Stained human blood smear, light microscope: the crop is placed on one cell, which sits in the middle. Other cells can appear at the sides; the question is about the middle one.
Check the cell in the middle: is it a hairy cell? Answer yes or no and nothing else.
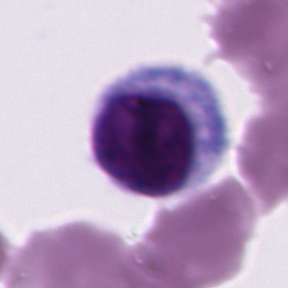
yes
